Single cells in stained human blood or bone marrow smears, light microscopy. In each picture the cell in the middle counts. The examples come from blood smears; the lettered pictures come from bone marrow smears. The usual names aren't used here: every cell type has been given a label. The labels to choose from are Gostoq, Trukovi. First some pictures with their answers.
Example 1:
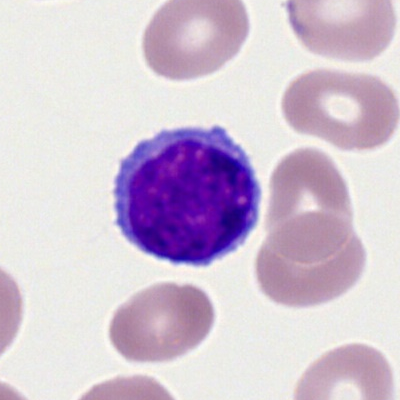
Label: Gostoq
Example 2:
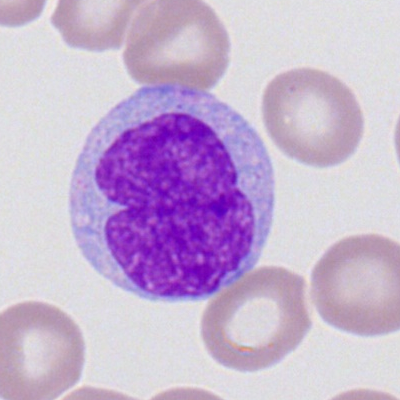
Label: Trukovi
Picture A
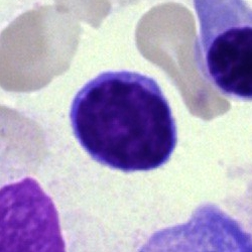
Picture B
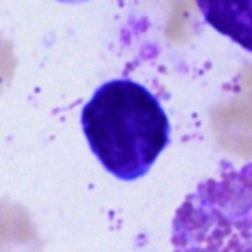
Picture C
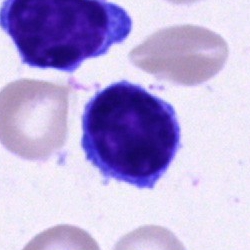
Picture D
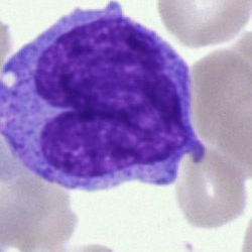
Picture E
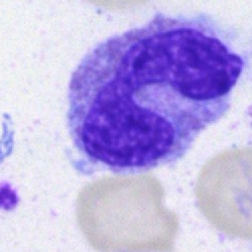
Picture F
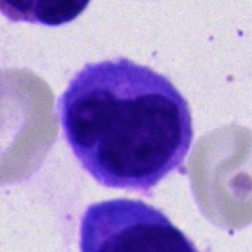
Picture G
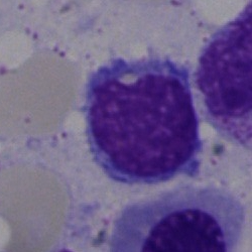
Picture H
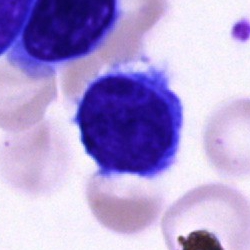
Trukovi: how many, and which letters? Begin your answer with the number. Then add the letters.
3, namely D, E, F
